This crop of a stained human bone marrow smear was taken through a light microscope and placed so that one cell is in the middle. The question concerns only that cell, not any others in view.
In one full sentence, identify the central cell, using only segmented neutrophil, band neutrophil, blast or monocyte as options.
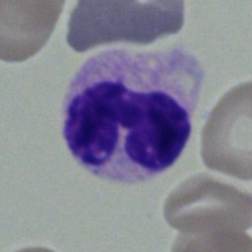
The centrally located cell in the crop is a segmented neutrophil.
